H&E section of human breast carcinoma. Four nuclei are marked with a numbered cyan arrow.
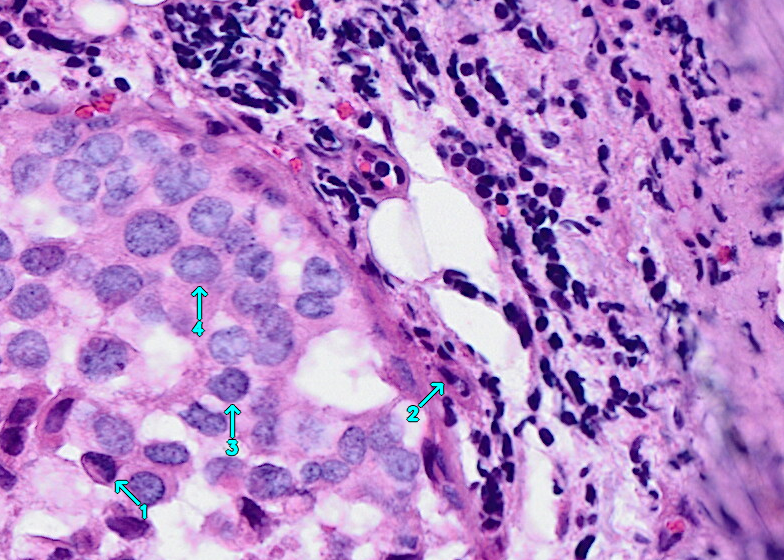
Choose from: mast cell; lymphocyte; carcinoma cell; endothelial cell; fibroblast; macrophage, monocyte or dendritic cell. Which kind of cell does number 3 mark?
carcinoma cell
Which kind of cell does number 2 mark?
endothelial cell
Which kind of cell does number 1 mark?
carcinoma cell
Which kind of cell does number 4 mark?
carcinoma cell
